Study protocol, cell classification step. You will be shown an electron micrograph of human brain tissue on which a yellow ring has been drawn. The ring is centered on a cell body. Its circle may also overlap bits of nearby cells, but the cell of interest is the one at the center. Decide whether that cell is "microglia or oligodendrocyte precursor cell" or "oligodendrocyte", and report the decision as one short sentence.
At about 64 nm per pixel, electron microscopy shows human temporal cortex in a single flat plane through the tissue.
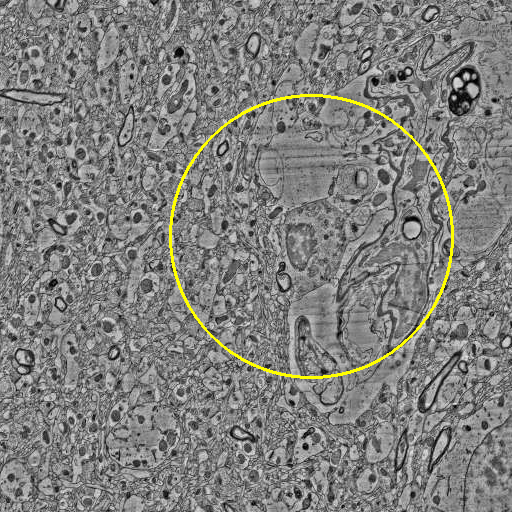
The marked cell is an oligodendrocyte.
